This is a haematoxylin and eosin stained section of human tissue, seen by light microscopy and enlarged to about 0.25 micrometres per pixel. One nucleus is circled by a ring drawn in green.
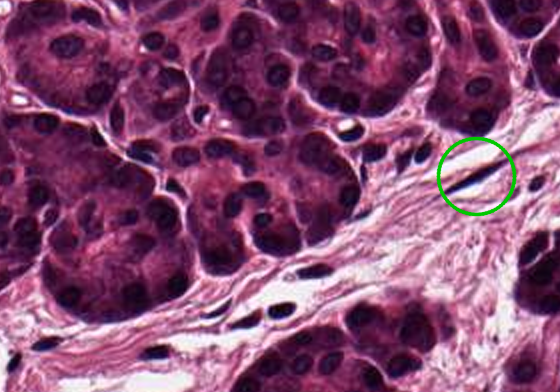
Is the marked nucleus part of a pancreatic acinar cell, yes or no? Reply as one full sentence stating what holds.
No, the marked nucleus has its place in a supporting cell rather than in a pancreatic acinar cell.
